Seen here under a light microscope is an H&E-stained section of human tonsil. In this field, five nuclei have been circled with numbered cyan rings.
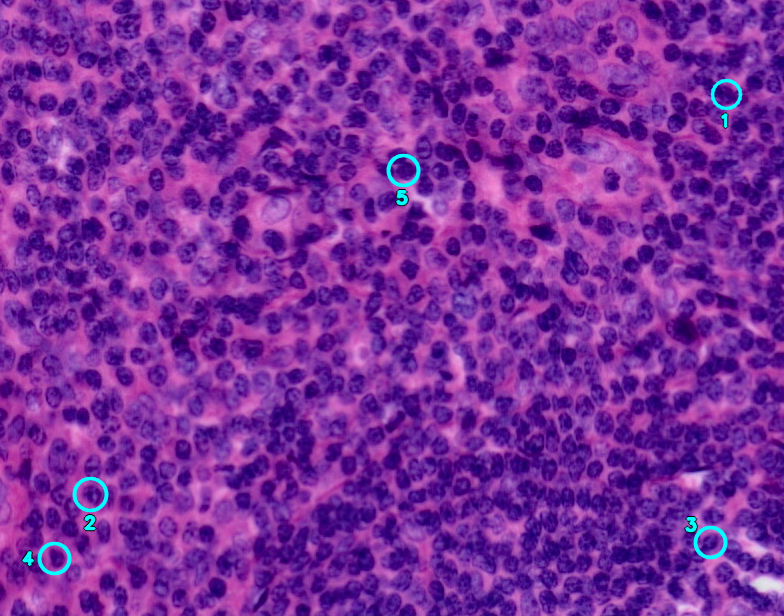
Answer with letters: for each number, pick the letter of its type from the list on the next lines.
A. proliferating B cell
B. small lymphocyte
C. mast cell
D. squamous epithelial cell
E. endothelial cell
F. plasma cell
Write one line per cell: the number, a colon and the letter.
1: B
2: F
3: B
4: F
5: B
